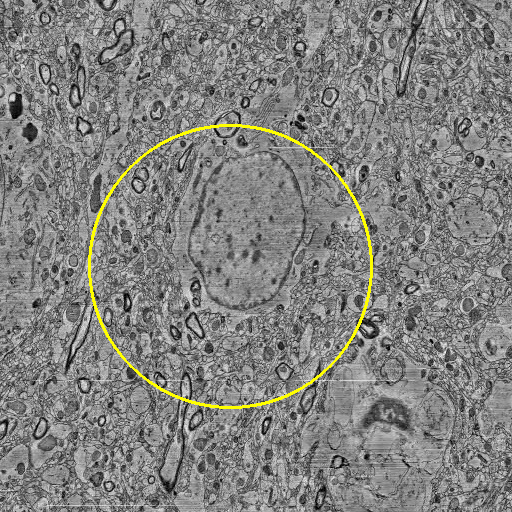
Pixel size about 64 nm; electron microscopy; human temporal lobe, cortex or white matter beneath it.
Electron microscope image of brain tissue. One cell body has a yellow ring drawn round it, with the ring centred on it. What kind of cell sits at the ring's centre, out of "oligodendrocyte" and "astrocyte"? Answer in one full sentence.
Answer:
It is an astrocyte whose cell body sits at the centre of the yellow ring.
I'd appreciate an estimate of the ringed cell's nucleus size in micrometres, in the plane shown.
Approximately 11 by 7 micrometers in this plane.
